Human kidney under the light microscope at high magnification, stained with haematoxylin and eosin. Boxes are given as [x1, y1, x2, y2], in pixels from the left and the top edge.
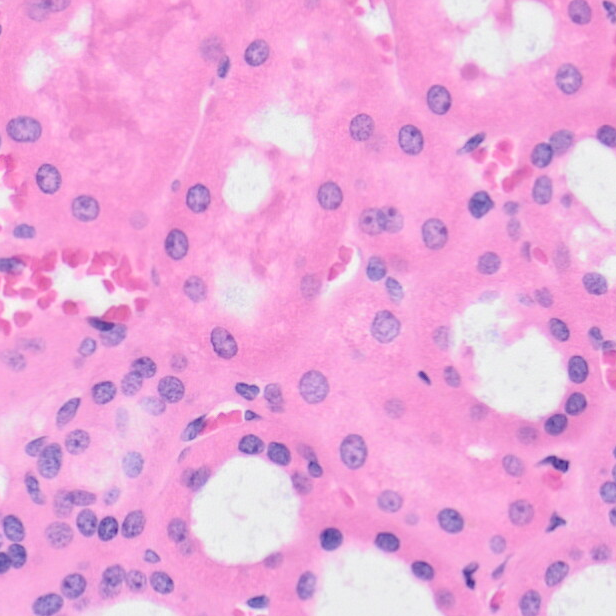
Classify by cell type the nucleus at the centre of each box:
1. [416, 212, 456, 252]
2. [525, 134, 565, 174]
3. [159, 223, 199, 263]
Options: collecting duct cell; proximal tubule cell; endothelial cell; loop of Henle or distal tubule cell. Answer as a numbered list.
1. proximal tubule cell
2. loop of Henle or distal tubule cell
3. proximal tubule cell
